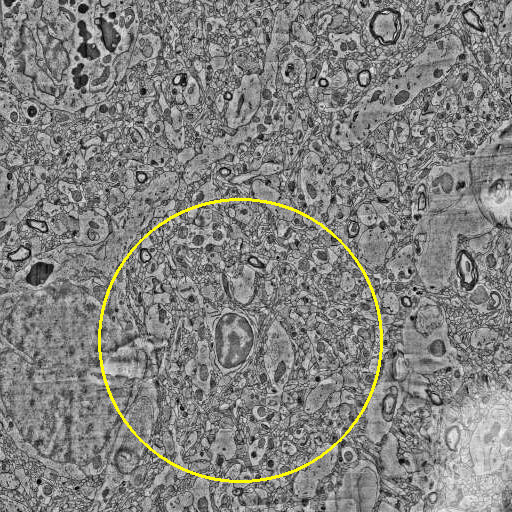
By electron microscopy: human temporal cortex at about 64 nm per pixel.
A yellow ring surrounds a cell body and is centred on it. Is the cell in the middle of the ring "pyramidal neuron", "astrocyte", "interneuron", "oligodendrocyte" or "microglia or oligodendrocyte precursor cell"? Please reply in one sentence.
The ring is centred on a microglial cell or oligodendrocyte precursor cell.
